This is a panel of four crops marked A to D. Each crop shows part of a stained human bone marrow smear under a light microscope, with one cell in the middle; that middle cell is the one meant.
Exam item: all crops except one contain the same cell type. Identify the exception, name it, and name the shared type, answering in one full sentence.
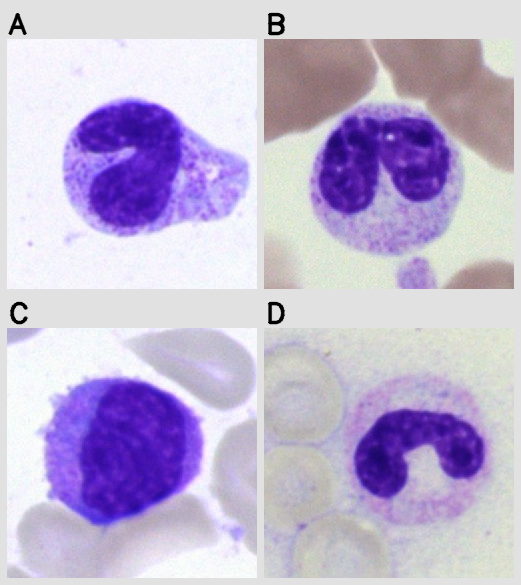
Crop C does not match the others; it shows a monocyte, and they show band neutrophils.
